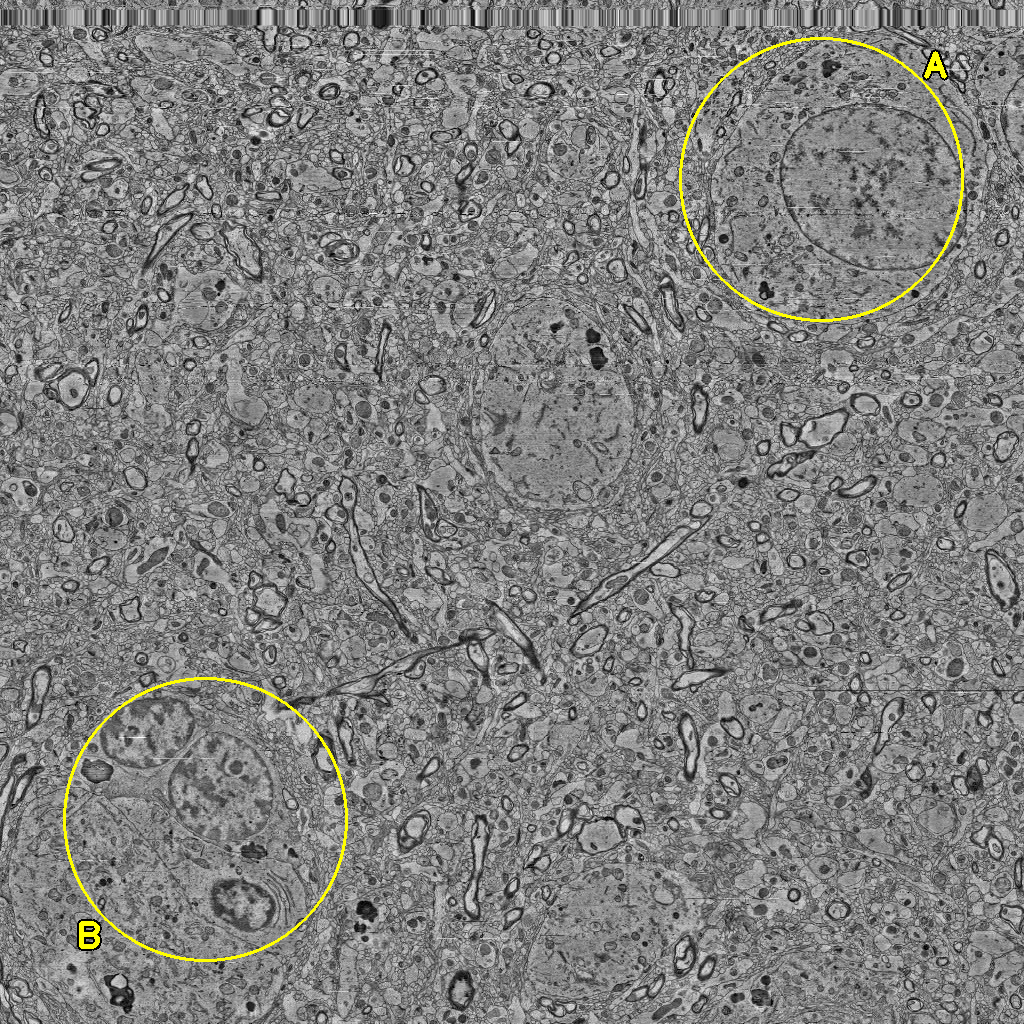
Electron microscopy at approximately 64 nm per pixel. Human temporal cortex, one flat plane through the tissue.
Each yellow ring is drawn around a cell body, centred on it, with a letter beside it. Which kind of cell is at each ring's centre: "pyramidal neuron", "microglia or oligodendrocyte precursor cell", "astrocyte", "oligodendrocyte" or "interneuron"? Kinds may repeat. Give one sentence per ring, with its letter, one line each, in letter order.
Ring A is centred on a pyramidal neuron.
Ring B is centred on an oligodendrocyte.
